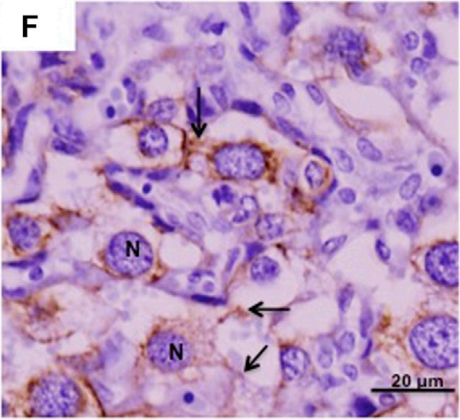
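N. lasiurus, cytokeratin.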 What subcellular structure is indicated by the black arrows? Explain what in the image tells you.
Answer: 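Cytoplasmic projections. Thin brown-stained strands extend from around the large nuclei. The brown stain outlines the cell borders and their extensions.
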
